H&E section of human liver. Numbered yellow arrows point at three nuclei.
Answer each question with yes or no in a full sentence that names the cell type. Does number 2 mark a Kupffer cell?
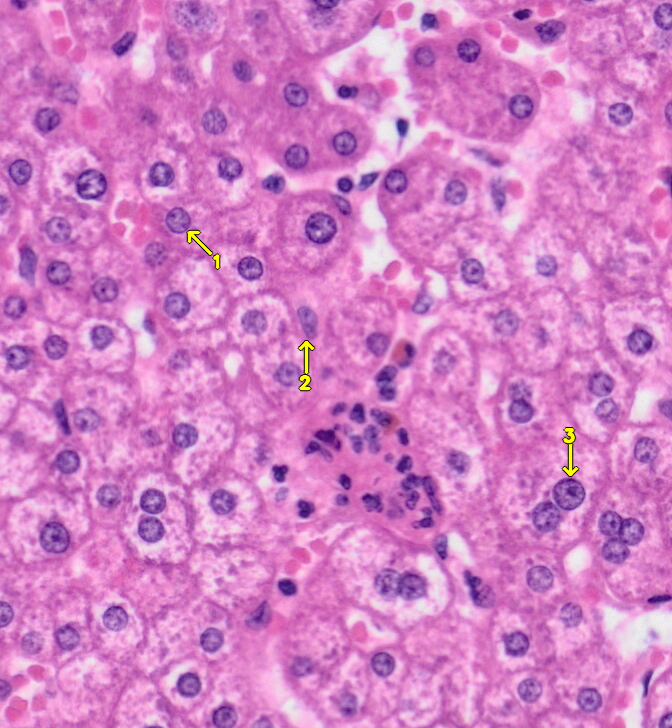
Yes, the cell bearing the number 2 is a Kupffer cell.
